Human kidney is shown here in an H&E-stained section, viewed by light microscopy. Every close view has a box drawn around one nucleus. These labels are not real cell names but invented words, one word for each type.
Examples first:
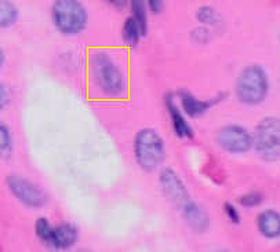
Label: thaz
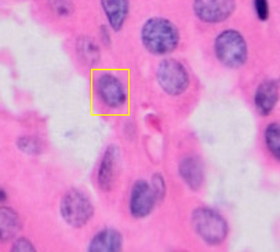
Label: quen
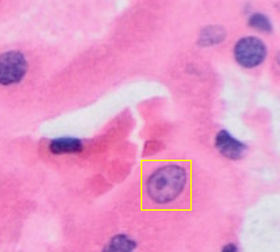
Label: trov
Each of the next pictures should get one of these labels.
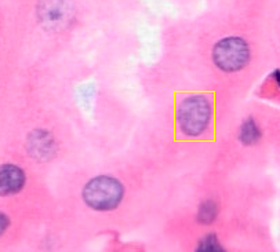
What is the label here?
trov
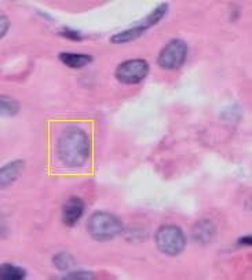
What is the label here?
quen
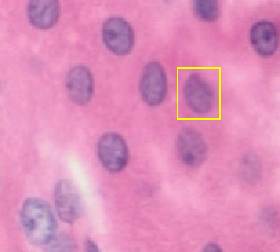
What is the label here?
trov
